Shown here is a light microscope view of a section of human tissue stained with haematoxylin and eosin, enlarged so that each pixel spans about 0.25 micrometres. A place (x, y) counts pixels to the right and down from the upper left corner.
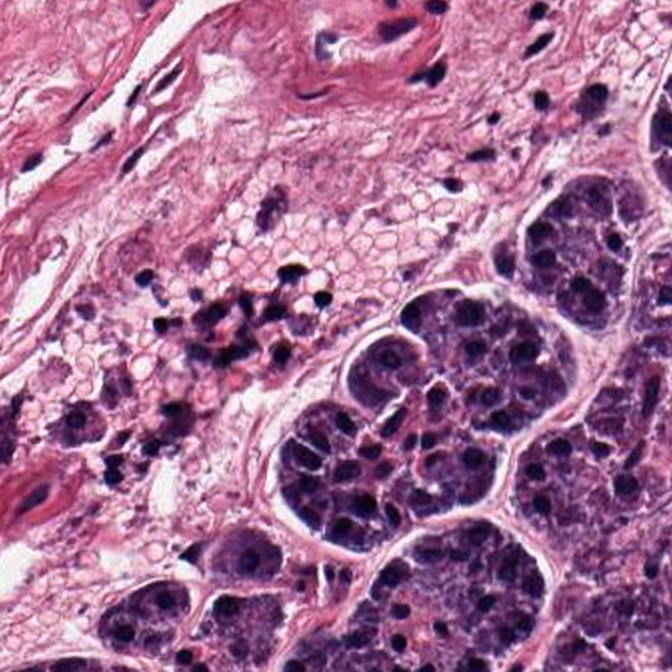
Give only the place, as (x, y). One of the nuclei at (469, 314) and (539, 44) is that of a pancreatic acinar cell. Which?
(469, 314)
